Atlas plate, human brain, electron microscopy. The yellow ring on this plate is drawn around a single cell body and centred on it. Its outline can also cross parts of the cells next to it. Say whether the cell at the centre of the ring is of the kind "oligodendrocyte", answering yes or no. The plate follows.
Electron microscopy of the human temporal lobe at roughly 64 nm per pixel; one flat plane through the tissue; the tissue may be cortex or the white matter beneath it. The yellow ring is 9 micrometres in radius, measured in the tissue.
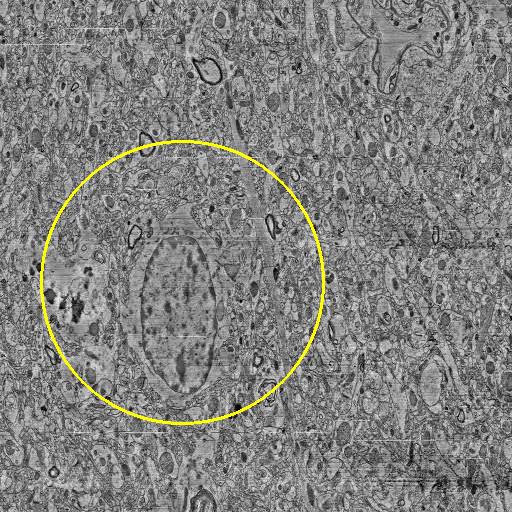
No, the cell is of another kind.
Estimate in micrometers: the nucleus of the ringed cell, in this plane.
The nucleus is about 11 micrometres in length and 5 in width, clearly longer than it is wide in this plane.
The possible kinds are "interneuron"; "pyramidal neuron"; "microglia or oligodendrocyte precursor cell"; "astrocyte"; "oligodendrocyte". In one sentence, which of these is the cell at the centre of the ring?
The cell marked by the ring is an astrocyte.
